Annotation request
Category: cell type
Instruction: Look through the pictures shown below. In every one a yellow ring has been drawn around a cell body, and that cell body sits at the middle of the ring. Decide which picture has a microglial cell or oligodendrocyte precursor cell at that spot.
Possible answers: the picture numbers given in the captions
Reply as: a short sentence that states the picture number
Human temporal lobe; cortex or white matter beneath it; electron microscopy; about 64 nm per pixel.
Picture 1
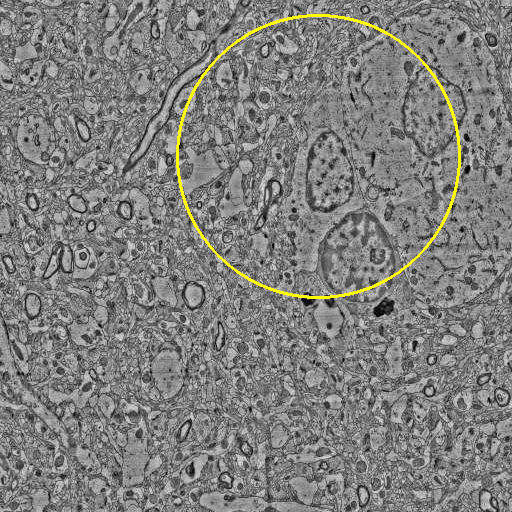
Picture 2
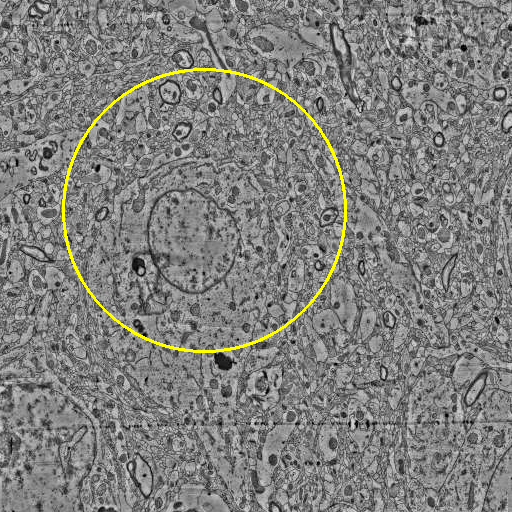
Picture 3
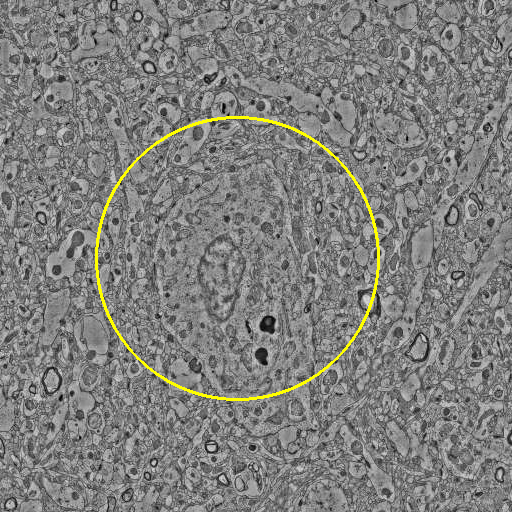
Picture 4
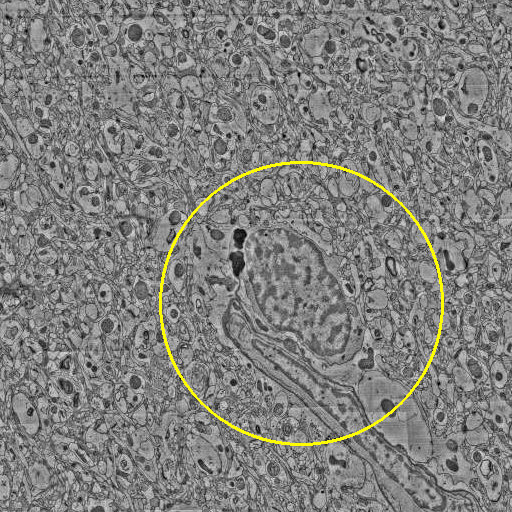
It is in Picture 1.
